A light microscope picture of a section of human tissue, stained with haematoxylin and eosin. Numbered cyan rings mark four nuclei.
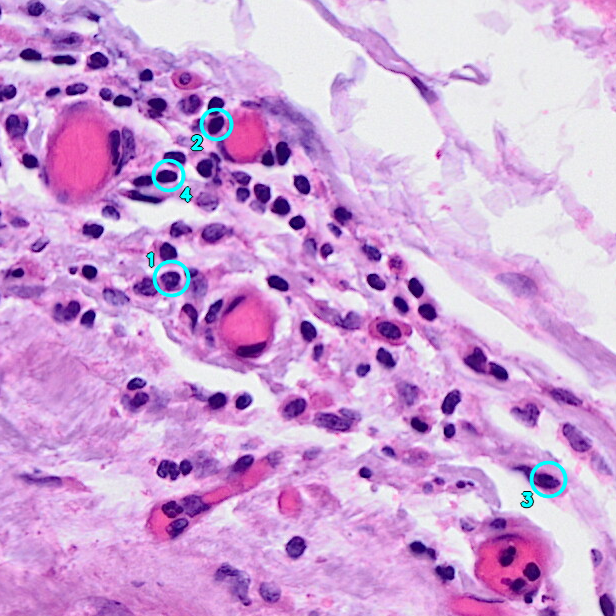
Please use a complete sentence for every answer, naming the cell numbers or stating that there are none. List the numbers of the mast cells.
Among the numbered cells, a mast cell occurs only once, as cell 3.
